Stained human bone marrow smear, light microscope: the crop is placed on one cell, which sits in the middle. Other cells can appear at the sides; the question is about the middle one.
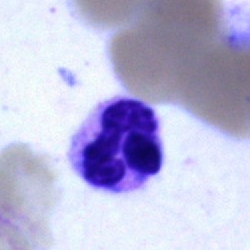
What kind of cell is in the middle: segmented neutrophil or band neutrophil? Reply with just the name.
segmented neutrophil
